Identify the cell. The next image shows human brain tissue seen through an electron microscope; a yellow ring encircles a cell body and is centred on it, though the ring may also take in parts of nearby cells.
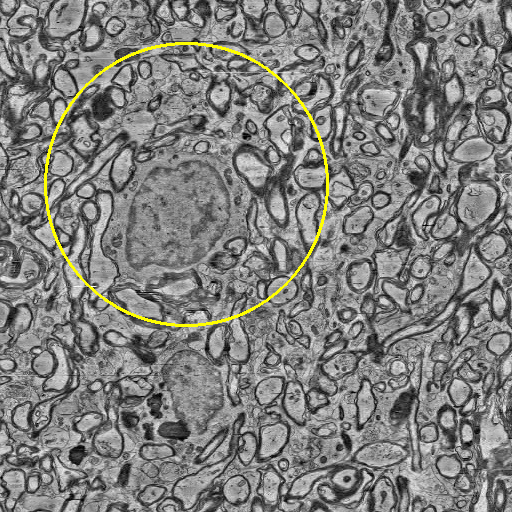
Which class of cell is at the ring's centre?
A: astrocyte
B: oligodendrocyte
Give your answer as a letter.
B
